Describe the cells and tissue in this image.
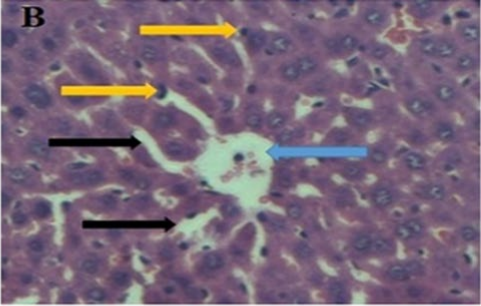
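This section of liver shows hepatocytes around a vessel, with markedly widened sinusoids. A rounded vessel lumen lies near the centre and contains a few cells. Broad white channels radiate outward from it between the cords of polygonal hepatocytes, which have round blue-purple nuclei and pink-purple cytoplasm. Small cells with dark, dense nuclei lie along the edges of these channels, between the hepatocytes. Some red blood cells are seen in a space at the upper right.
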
